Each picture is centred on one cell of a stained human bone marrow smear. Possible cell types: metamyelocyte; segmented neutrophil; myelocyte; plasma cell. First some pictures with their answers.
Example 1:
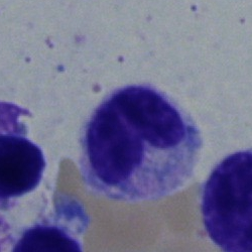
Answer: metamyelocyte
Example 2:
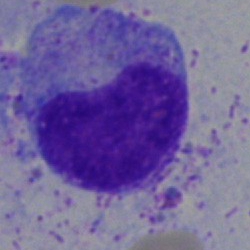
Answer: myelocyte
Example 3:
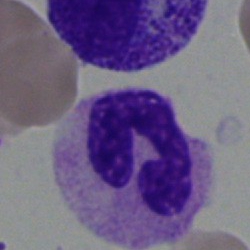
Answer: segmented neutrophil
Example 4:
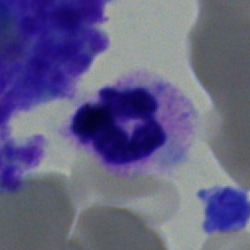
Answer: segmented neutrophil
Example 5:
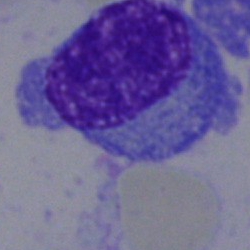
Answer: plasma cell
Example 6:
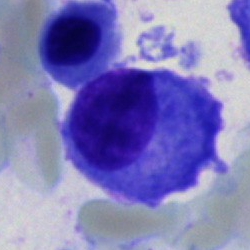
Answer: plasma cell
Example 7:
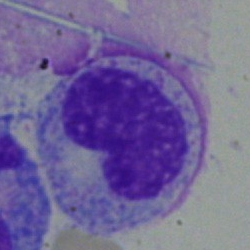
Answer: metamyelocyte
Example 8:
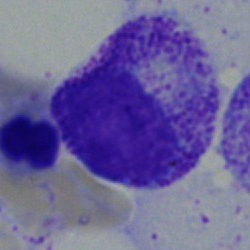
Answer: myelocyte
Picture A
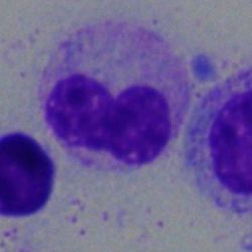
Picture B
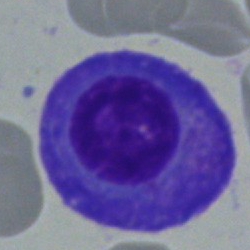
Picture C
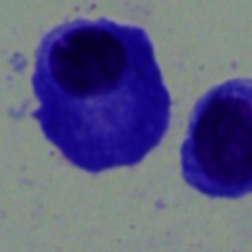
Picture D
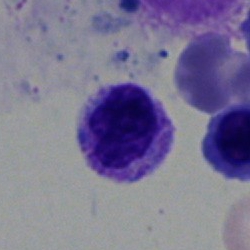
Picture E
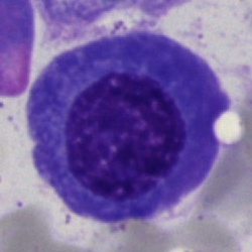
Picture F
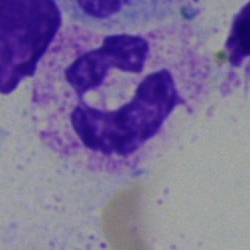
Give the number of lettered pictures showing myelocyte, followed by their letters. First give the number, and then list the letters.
Count: 1 (D)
